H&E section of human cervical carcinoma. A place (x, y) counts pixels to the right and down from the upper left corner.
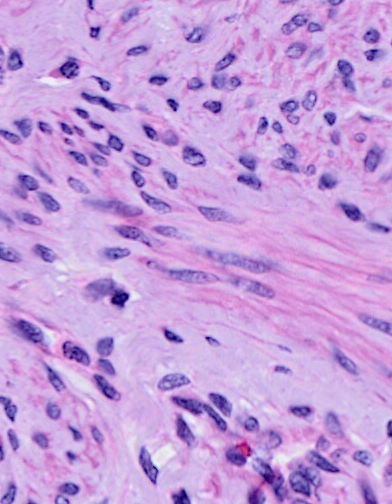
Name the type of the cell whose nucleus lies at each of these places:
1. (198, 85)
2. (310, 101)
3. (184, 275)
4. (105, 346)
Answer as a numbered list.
1. smooth muscle cell
2. smooth muscle cell
3. smooth muscle cell
4. fibroblast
